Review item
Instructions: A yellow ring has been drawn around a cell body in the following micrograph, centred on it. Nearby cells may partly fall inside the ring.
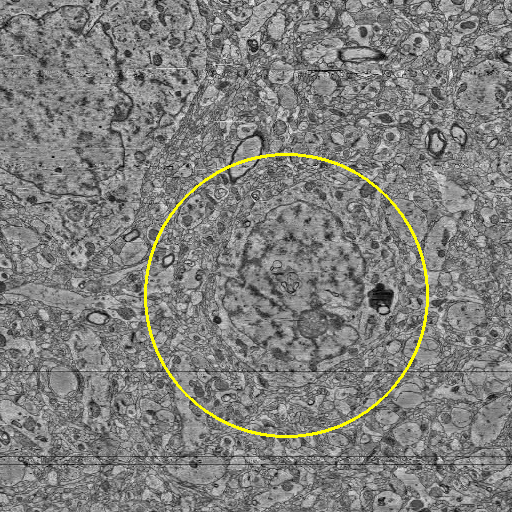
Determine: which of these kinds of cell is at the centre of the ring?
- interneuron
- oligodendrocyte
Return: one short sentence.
The cell body in the middle of the ring is that of an interneuron.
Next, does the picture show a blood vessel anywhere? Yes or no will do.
No, no vessel shows anywhere in the image.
